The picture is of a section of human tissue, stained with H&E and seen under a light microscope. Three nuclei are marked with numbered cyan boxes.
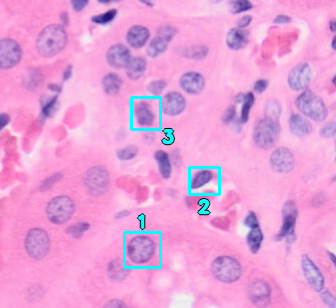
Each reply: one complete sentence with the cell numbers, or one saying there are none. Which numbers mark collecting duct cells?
The only cell among those numbered to be a collecting duct cell is number 3.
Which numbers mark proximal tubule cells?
The numbered cells include exactly one that is a proximal tubule cell, which is cell 1.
